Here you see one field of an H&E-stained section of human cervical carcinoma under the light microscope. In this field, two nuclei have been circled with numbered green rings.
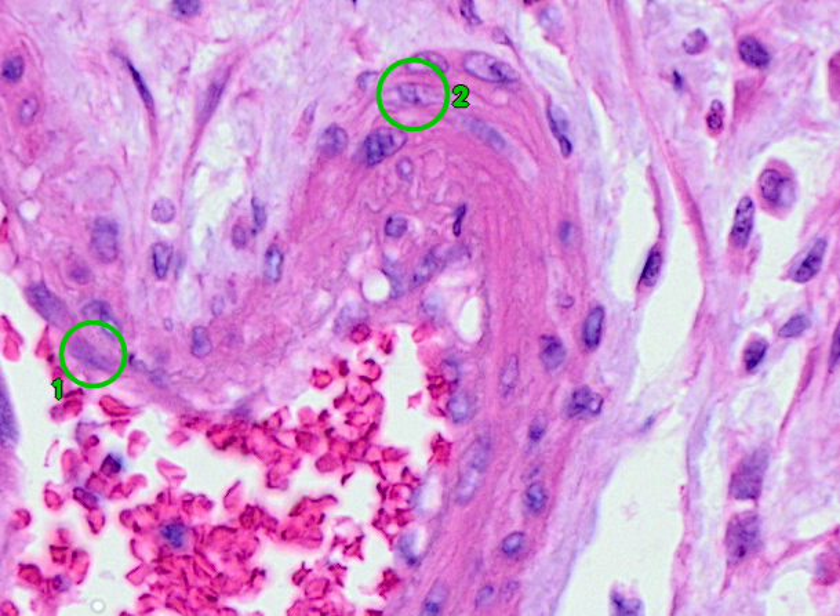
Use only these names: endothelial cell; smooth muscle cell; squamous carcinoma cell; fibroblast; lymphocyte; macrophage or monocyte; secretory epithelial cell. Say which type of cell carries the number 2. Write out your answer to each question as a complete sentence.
Cell 2 of the marked set is a smooth muscle cell.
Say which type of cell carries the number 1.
The cell to which the number 1 is assigned is an endothelial cell.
